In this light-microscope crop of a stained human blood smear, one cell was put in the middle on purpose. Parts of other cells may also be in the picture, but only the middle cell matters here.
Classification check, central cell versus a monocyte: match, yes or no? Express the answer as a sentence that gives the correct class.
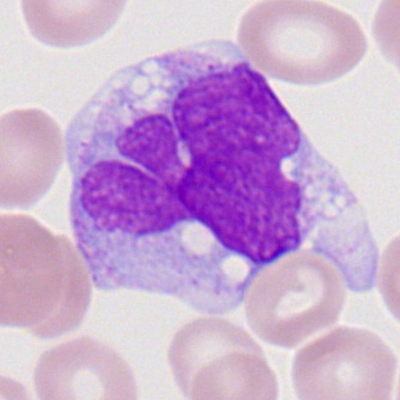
Yes, the cell sitting in the middle of this smear crop is a monocyte.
